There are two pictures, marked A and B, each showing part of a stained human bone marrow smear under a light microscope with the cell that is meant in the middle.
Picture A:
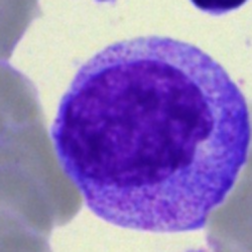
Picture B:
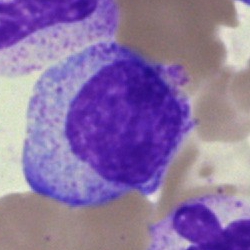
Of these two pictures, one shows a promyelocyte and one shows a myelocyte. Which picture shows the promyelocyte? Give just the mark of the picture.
A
